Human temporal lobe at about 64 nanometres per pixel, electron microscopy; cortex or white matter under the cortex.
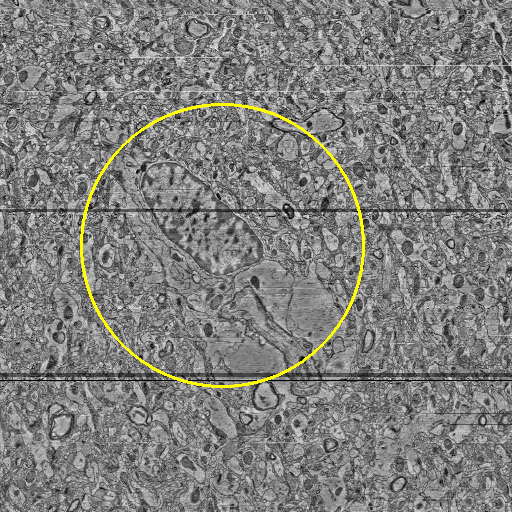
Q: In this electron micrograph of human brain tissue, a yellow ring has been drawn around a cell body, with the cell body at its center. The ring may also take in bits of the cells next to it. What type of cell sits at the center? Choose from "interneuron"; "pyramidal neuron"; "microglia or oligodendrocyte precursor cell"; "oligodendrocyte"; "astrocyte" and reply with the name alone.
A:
microglia or oligodendrocyte precursor cell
